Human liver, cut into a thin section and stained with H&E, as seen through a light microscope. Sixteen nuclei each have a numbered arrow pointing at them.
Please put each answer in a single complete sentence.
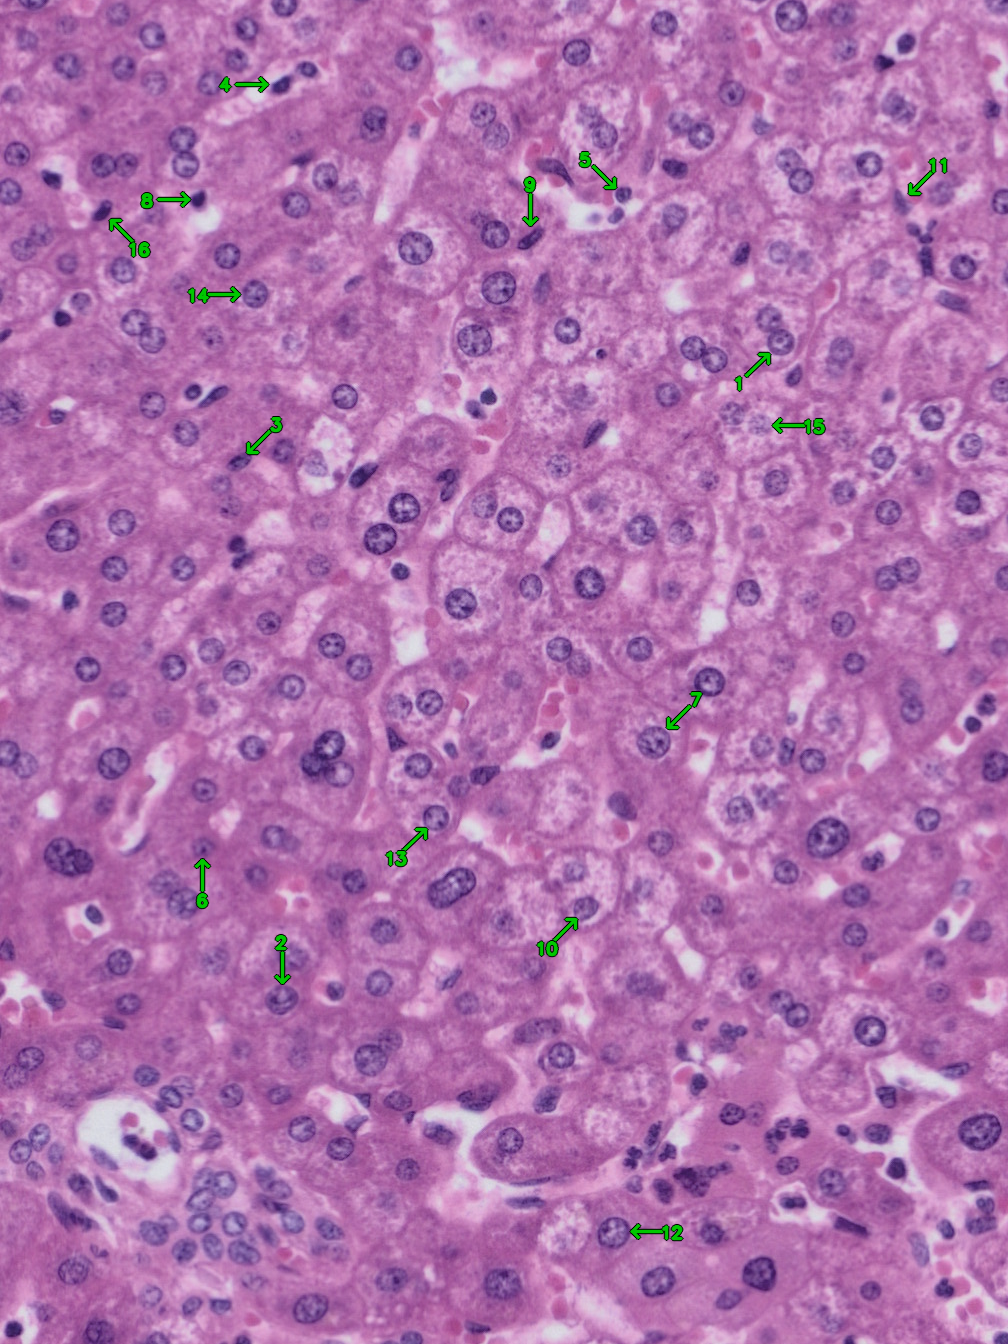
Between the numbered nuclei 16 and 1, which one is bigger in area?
Nucleus 1 is the larger one, covering about 2 times the area of nucleus 16.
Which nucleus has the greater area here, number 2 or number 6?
Number 2 is larger; its area is about 2 times that of number 6.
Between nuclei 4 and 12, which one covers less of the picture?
It is nucleus 4; nucleus 12 has about 2 times its area.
